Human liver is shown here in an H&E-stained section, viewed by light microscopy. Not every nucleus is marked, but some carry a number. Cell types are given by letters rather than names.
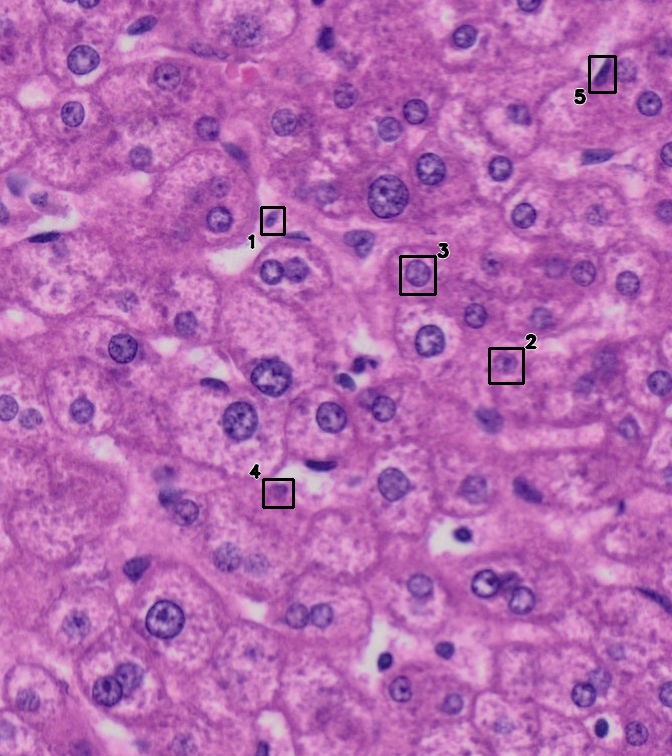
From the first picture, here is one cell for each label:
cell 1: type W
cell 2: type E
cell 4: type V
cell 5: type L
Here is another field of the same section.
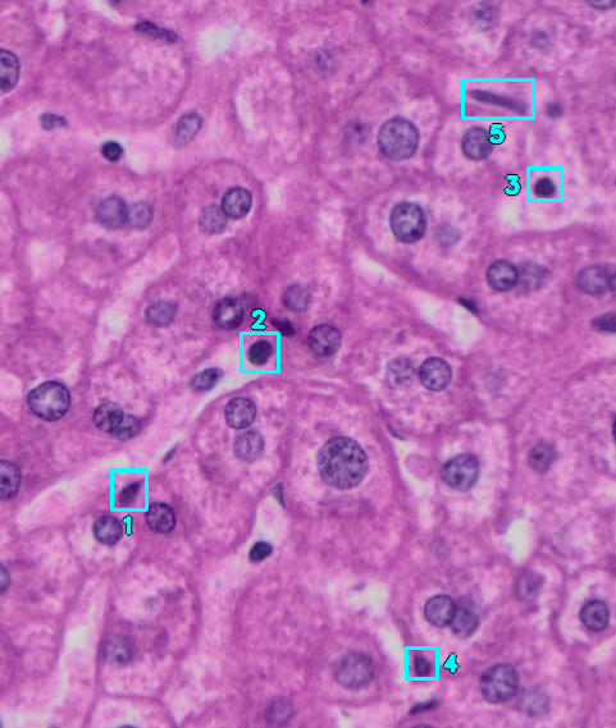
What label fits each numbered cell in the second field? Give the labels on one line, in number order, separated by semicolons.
type L; type W; type W; type V; type V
